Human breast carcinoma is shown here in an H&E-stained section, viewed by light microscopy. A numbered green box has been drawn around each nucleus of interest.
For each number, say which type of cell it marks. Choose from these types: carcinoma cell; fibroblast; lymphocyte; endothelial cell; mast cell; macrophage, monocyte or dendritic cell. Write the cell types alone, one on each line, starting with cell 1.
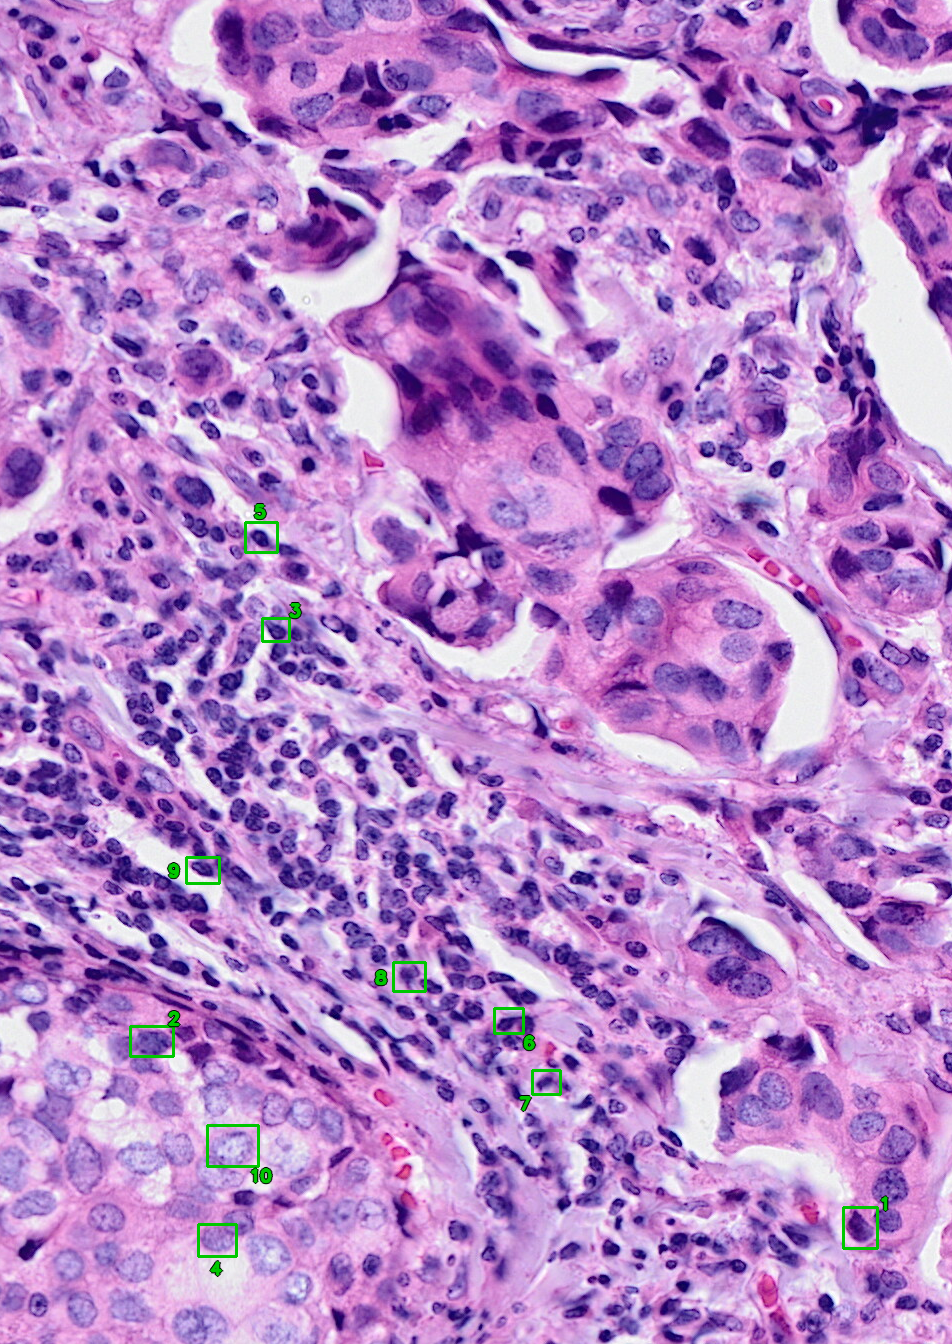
carcinoma cell
carcinoma cell
lymphocyte
carcinoma cell
lymphocyte
lymphocyte
lymphocyte
lymphocyte
lymphocyte
carcinoma cell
